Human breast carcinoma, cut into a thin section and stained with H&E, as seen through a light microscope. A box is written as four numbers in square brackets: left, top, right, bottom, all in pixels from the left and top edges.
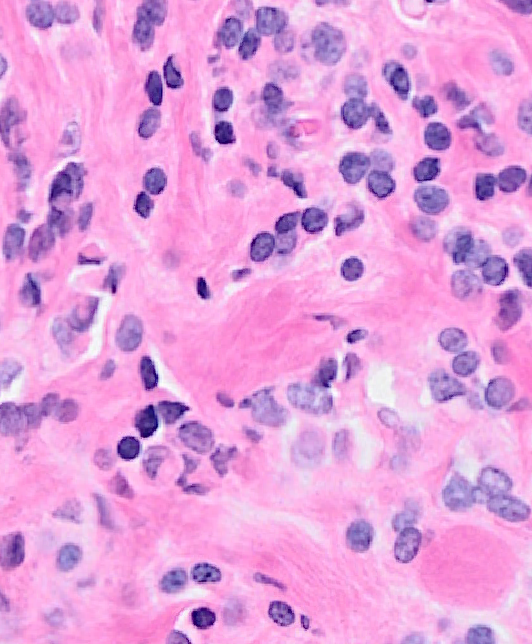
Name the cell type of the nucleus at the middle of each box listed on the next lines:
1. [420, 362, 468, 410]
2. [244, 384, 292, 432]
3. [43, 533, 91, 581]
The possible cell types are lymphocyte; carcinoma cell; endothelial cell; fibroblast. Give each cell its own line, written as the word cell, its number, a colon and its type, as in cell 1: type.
cell 1: carcinoma cell
cell 2: carcinoma cell
cell 3: endothelial cell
